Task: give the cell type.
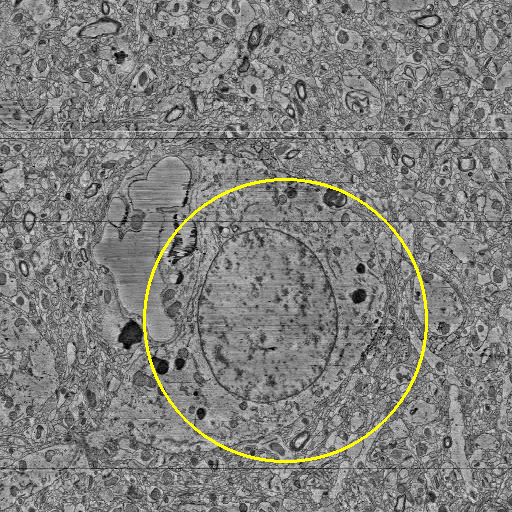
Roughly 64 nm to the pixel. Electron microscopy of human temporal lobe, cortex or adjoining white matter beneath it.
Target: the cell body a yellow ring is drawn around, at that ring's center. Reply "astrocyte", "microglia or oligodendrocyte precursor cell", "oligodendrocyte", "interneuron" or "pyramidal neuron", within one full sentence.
In this picture, the cell whose body lies at the ring's center is a pyramidal neuron.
